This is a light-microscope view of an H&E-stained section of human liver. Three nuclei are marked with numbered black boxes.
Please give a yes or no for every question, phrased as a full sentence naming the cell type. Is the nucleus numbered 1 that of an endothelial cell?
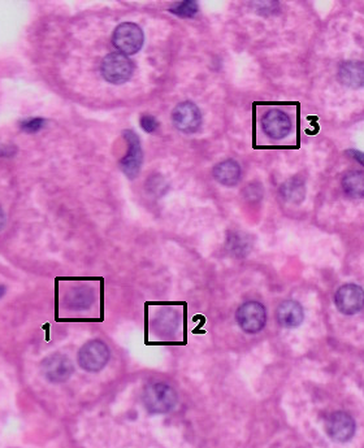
Yes, in this section the cell numbered 1 is an endothelial cell.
